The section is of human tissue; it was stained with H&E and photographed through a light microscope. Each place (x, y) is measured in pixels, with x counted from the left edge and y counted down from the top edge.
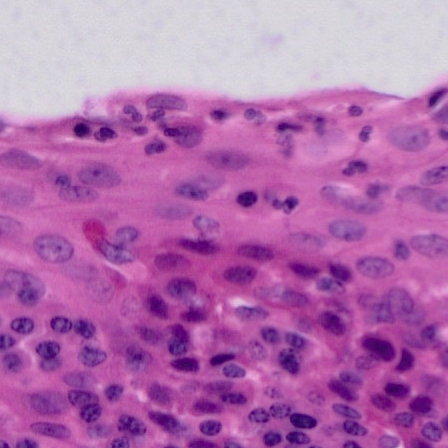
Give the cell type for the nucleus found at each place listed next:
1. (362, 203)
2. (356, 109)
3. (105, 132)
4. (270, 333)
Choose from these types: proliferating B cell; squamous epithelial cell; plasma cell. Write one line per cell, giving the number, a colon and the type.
1: squamous epithelial cell
2: squamous epithelial cell
3: squamous epithelial cell
4: plasma cell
